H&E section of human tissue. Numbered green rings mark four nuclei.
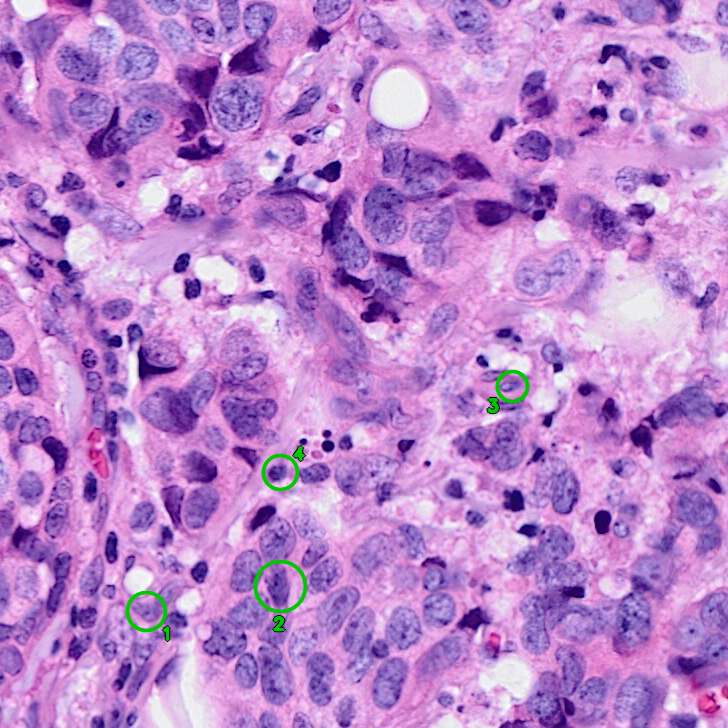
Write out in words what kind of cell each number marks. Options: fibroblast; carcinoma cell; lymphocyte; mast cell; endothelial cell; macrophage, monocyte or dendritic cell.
Cells 1 and 3 are endothelial cells. Cell 2 is a carcinoma cell. Cell 4 is a lymphocyte.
